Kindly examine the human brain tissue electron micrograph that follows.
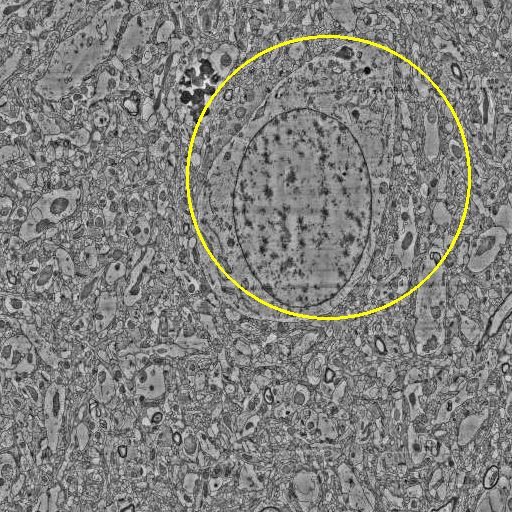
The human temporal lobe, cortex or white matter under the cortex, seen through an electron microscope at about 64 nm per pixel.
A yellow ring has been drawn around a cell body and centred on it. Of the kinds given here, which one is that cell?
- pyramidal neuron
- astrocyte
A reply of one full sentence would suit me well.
The micrograph's ringed cell, the one at the ring's centre, is a pyramidal neuron.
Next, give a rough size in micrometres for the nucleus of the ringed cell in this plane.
In this plane, the nucleus is roughly 13 by 9 micrometres.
